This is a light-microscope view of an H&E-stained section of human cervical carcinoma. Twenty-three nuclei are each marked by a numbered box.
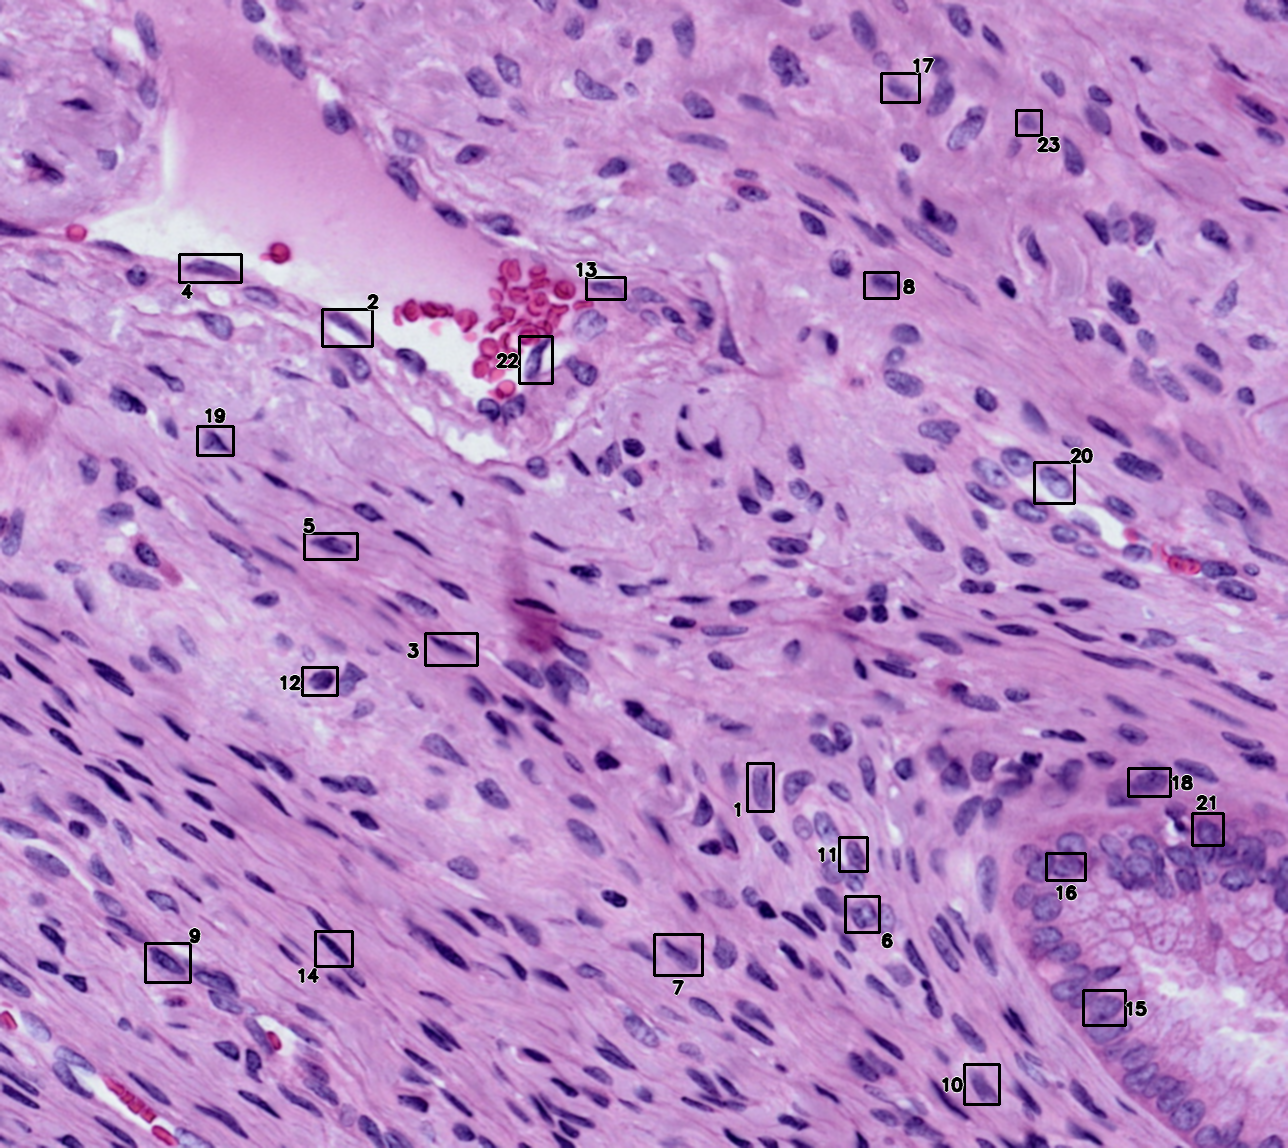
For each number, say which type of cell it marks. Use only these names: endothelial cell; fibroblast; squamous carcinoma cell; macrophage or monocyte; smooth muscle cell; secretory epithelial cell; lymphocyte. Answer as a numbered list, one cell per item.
1. fibroblast
2. endothelial cell
3. fibroblast
4. endothelial cell
5. fibroblast
6. endothelial cell
7. fibroblast
8. fibroblast
9. endothelial cell
10. fibroblast
11. endothelial cell
12. lymphocyte
13. endothelial cell
14. fibroblast
15. secretory epithelial cell
16. secretory epithelial cell
17. fibroblast
18. fibroblast
19. fibroblast
20. endothelial cell
21. secretory epithelial cell
22. endothelial cell
23. fibroblast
